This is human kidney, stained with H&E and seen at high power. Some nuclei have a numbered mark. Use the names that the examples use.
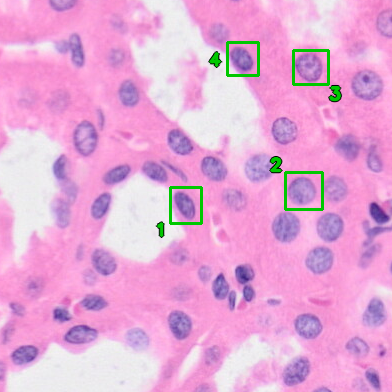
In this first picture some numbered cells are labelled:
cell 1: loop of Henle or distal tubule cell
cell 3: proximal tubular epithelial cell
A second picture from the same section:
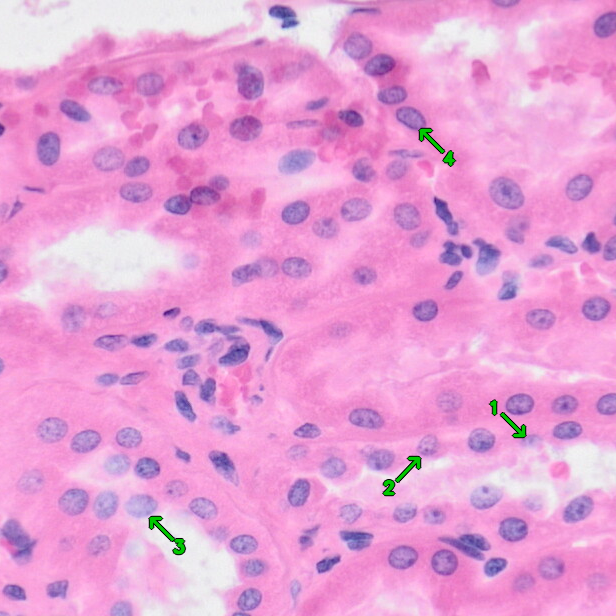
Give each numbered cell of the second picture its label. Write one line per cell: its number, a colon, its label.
1: loop of Henle or distal tubule cell
2: loop of Henle or distal tubule cell
3: loop of Henle or distal tubule cell
4: proximal tubular epithelial cell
